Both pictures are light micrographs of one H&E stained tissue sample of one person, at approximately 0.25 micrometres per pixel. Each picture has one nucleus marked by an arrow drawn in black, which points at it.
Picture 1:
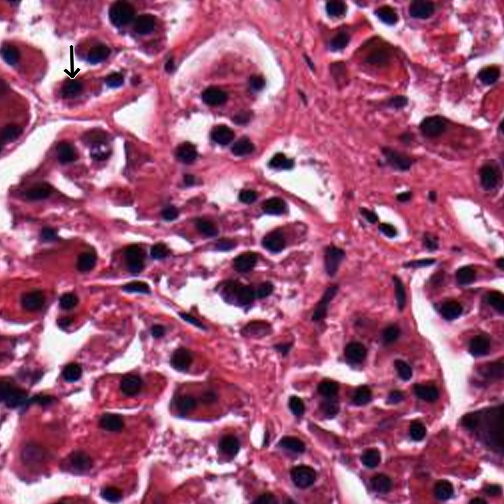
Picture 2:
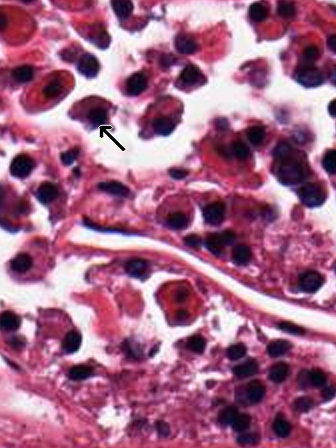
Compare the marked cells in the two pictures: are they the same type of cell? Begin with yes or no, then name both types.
Yes, both are anterior pituitary cells.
